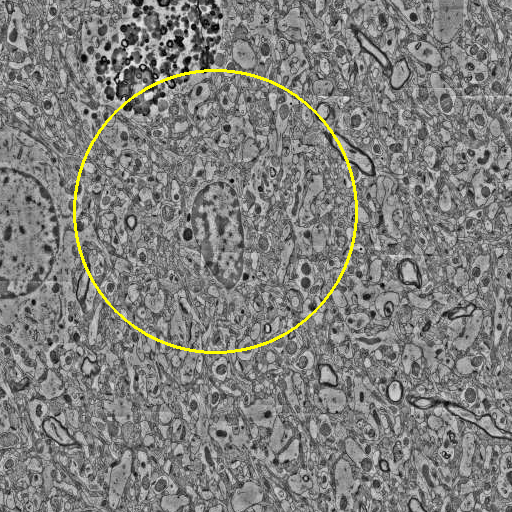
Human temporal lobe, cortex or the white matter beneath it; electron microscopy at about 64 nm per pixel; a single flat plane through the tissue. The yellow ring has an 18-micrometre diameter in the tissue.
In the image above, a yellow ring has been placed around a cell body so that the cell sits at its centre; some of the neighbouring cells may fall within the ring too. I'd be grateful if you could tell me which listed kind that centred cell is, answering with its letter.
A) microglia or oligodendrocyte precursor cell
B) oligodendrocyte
A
